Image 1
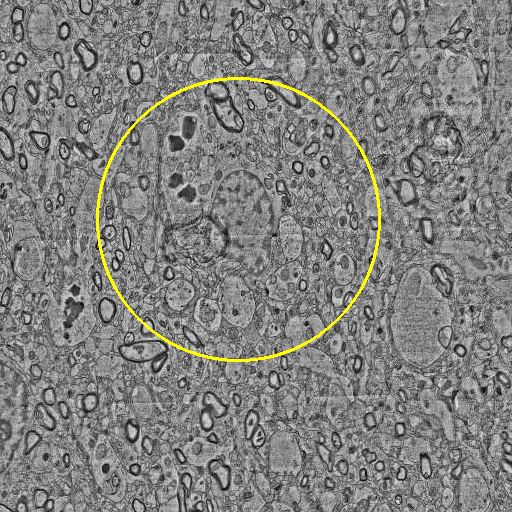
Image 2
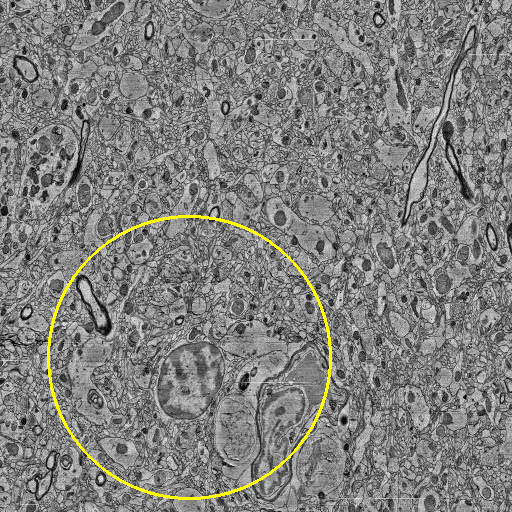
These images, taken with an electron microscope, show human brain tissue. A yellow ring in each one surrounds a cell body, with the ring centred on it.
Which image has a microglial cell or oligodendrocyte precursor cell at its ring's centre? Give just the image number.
2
